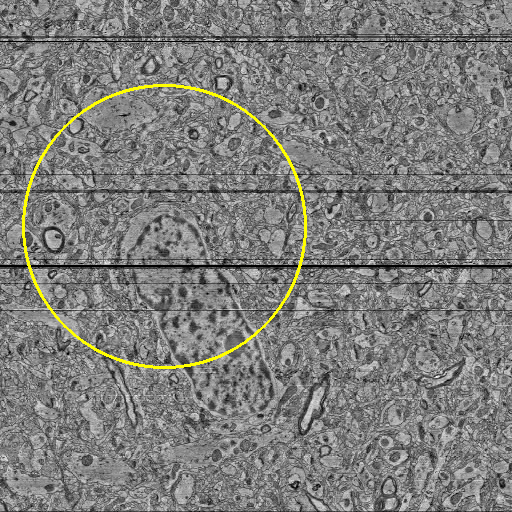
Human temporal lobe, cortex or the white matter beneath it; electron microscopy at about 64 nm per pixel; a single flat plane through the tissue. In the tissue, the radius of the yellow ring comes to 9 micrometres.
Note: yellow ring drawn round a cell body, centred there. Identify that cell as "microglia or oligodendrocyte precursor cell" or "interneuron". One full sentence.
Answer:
The cell in the middle of the ring is a microglial cell or oligodendrocyte precursor cell.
